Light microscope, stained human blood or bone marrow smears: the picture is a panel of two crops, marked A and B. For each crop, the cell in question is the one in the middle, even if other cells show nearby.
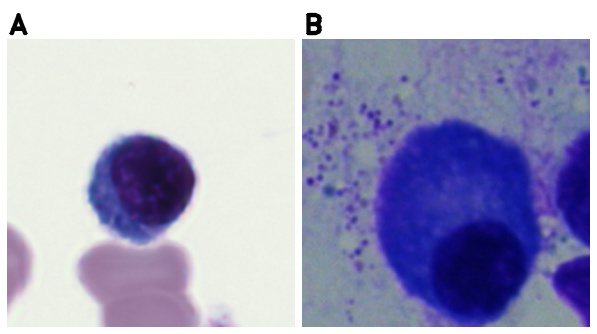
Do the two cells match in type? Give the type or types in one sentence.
Yes, both crops show plasma cells, and nothing else needs adding.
